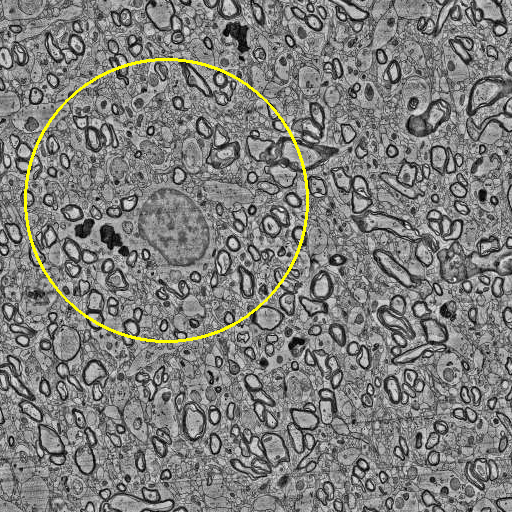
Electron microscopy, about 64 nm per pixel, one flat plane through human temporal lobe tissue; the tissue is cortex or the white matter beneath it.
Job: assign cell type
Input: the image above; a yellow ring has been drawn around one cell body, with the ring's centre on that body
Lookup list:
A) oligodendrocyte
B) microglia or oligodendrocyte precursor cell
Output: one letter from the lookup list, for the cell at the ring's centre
A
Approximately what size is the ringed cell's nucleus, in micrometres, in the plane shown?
Approximately 5 by 4 micrometers in this plane.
